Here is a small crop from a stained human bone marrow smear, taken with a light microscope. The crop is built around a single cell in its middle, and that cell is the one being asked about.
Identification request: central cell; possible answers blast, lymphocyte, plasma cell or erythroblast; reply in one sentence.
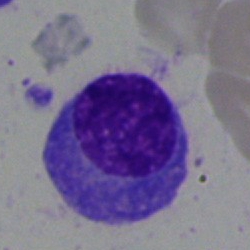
The cell centered in this field of view is a plasma cell.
